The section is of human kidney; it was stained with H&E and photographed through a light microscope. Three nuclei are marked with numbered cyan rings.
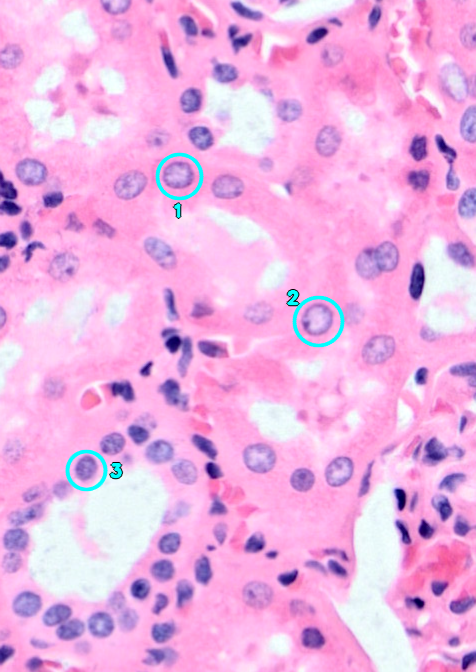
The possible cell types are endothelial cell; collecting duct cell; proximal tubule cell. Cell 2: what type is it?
proximal tubule cell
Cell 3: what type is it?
collecting duct cell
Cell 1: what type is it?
proximal tubule cell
